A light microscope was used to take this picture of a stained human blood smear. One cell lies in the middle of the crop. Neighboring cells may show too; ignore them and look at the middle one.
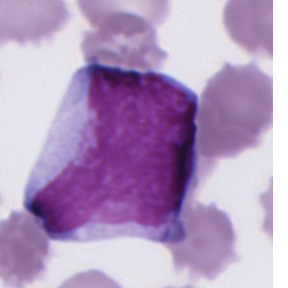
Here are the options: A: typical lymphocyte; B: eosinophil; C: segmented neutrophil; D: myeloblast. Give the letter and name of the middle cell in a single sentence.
Since the middle cell is a myeloblast, option D is the right one.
